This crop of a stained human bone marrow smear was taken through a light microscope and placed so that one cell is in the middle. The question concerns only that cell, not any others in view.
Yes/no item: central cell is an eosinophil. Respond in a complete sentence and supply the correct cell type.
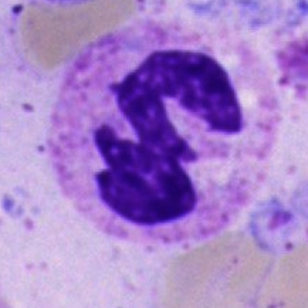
No, the cell sitting in the middle is a segmented neutrophil, and it is not an eosinophil.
